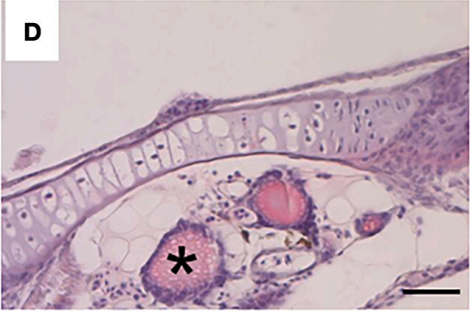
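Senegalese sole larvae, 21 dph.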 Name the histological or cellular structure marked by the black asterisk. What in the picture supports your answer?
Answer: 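The pink content is bordered by a thin rim of cells with purple nuclei. Similar smaller round pink-filled structures lie nearby beneath a cartilage plate. The answer: thyroid follicles.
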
